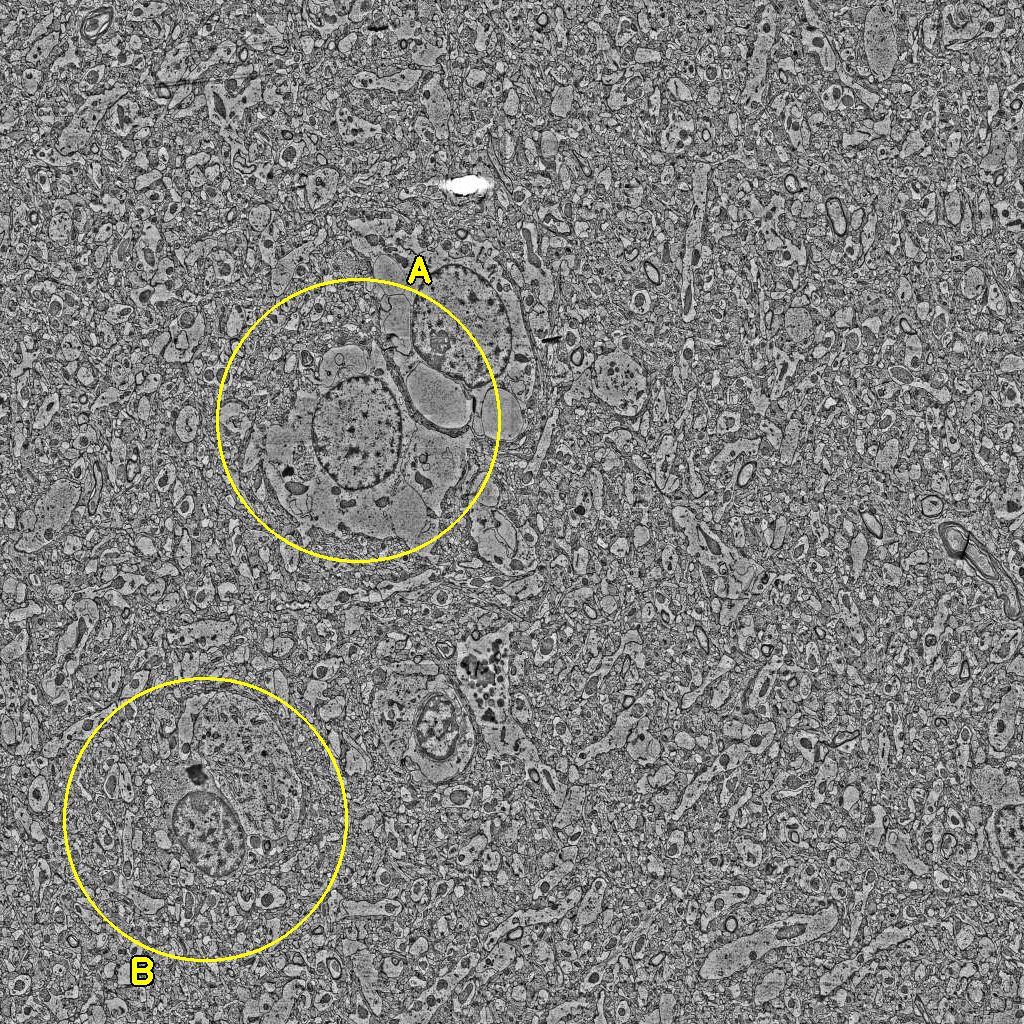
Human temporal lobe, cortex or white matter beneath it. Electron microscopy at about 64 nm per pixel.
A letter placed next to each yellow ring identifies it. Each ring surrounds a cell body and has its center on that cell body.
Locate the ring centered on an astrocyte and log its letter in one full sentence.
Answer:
Ring A has at its center the cell that the task asks for.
